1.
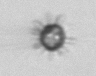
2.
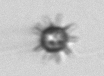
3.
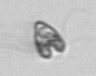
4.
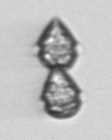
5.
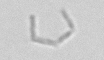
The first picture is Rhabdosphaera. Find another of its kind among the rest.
Picture 2.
